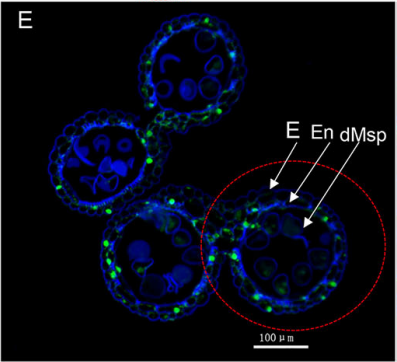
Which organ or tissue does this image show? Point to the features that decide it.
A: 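Four rounded locules joined together in cross section. Each locule bounded by a wall of small cells and containing rounded cells. The answer: anthers.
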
